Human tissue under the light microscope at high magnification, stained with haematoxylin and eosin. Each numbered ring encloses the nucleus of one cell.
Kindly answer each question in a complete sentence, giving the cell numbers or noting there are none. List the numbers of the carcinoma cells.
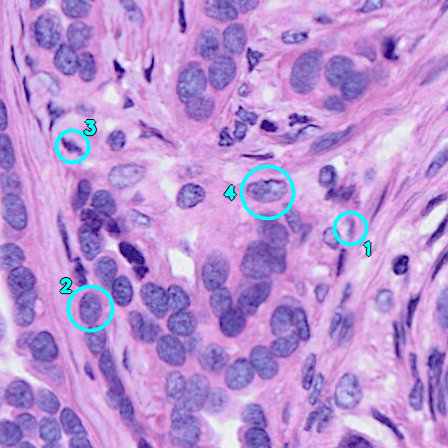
The numbered cell that is a carcinoma cell is cell 2, and it is the only one.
